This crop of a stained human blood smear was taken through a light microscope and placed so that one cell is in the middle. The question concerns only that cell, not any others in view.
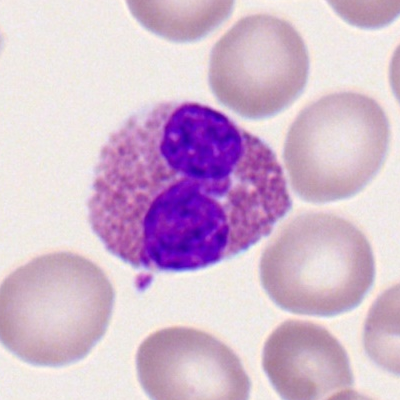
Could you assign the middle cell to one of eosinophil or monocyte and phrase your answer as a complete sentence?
The central element of this crop is a cell, namely an eosinophil.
